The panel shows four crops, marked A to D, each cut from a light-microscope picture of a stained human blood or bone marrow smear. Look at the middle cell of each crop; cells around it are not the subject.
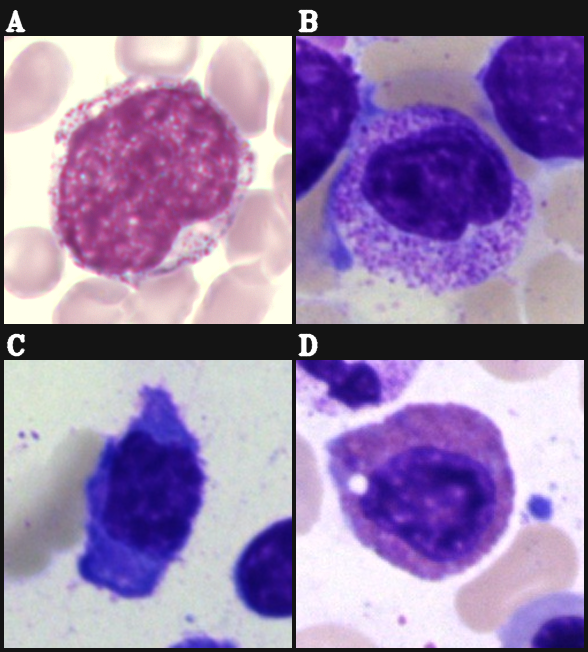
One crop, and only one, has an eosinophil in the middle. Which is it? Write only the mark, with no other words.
D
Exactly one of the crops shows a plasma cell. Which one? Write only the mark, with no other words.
C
